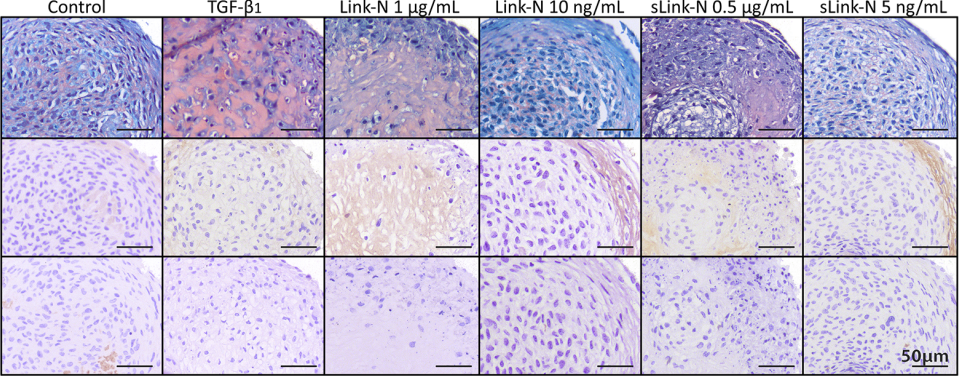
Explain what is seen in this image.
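These are sections through compact, rounded micro-aggregates of chondrocyte-like cells, with small oval to rounded purple-blue nuclei packed densely and often lying in concentric arcs near the curved outer edge. In the top row the matrix between the cells stains from blue-green to pink-red, and in one aggregate the cells sit apart in pale spaces within a strongly red matrix. In the lower two rows the background is mostly pale with only patchy light brown staining of the matrix in some aggregates.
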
